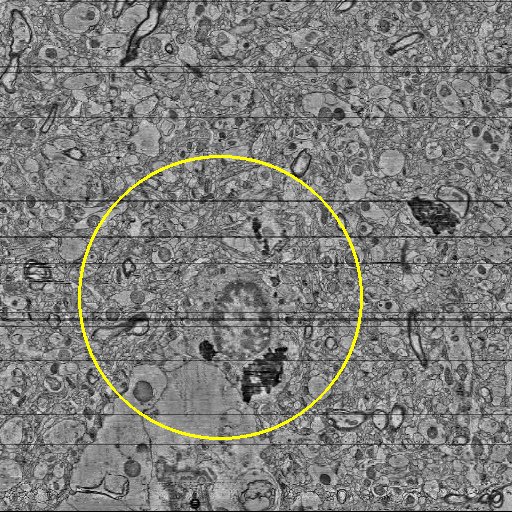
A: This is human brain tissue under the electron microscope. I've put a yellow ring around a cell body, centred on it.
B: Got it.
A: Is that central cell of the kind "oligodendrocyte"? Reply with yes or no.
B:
yes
